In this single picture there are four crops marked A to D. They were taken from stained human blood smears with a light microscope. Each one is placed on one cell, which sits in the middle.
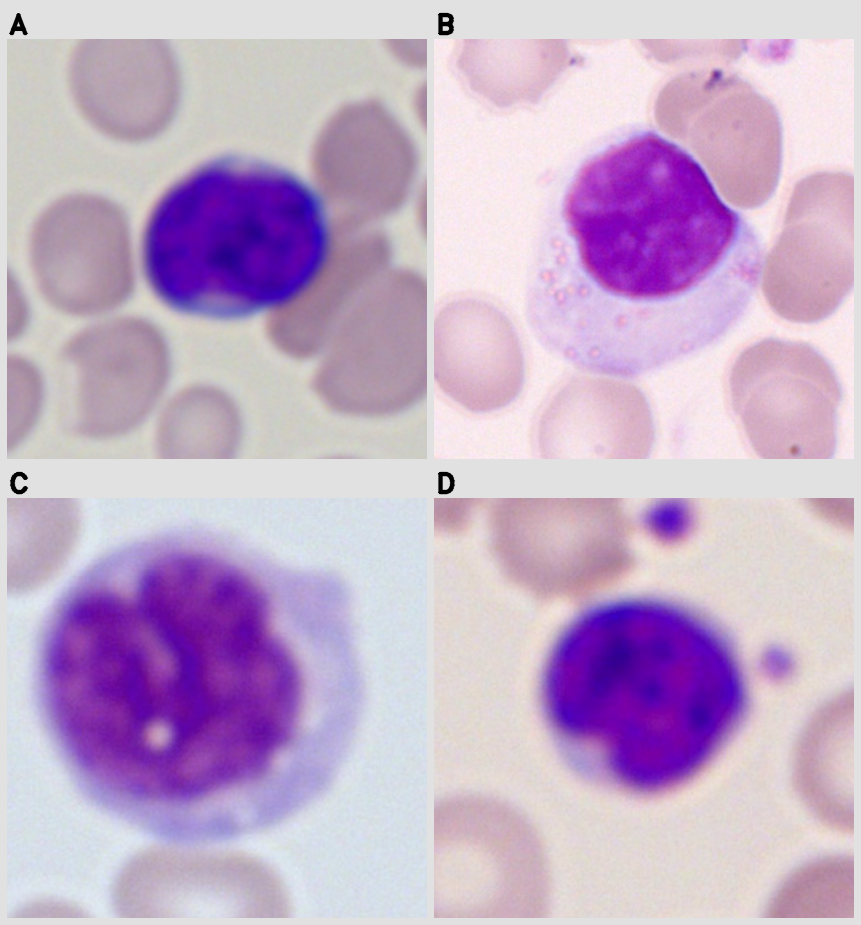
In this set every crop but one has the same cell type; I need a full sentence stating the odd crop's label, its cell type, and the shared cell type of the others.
The crop that differs is C, which is a monocyte; the rest are lymphocytes.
